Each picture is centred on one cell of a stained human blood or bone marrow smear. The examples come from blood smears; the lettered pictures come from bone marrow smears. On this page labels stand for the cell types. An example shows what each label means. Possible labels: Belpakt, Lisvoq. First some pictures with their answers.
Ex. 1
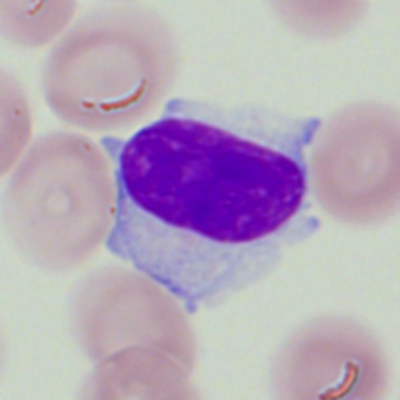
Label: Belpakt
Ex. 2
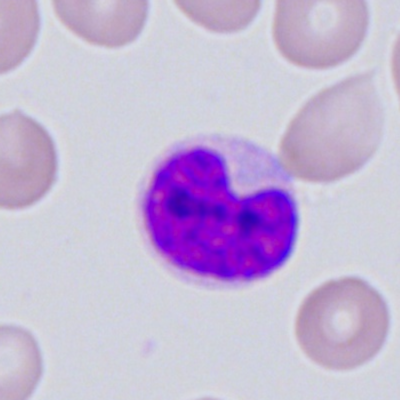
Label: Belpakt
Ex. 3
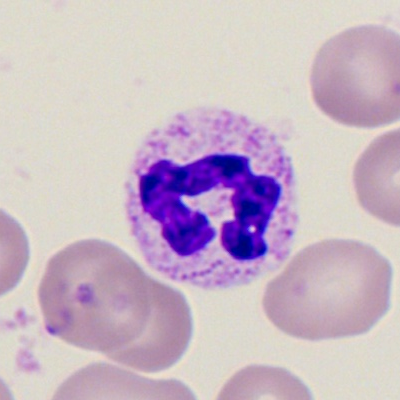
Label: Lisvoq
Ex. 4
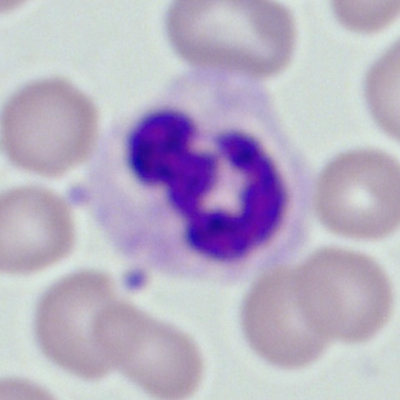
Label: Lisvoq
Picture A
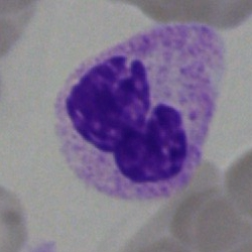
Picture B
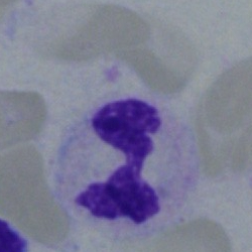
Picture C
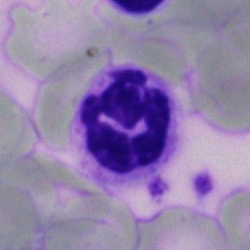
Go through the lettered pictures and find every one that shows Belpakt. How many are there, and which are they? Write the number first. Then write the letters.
0, none of them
